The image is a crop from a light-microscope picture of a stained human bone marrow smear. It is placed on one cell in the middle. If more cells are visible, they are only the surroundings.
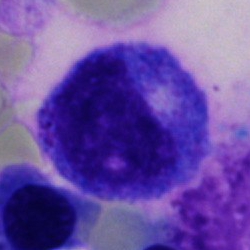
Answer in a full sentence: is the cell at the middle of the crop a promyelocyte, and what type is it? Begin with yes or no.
Yes, the cell centred in this crop is a promyelocyte.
